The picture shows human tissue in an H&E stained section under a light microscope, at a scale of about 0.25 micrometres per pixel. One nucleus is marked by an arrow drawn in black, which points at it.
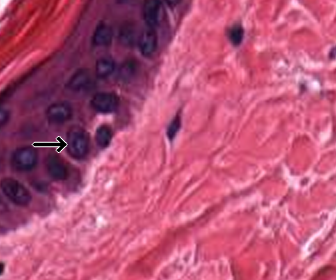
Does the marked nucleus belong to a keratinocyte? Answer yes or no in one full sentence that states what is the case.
Yes, in the picture the marked nucleus belongs to a keratinocyte.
